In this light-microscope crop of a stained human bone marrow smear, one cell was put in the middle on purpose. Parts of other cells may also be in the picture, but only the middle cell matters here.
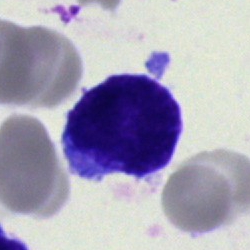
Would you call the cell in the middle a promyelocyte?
no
